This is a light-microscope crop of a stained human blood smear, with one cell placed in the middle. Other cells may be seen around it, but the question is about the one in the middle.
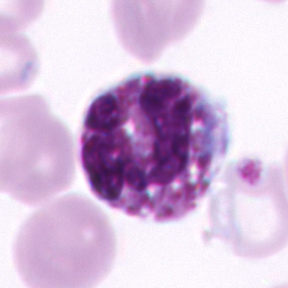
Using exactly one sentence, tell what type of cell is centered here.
The middle of this crop is occupied by an eosinophil.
